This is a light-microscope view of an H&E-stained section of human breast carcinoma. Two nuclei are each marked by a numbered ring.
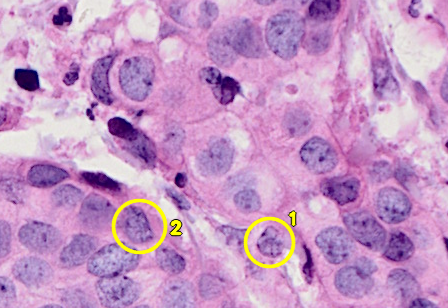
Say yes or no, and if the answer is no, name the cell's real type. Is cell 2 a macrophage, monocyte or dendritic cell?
No, it is a carcinoma cell.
